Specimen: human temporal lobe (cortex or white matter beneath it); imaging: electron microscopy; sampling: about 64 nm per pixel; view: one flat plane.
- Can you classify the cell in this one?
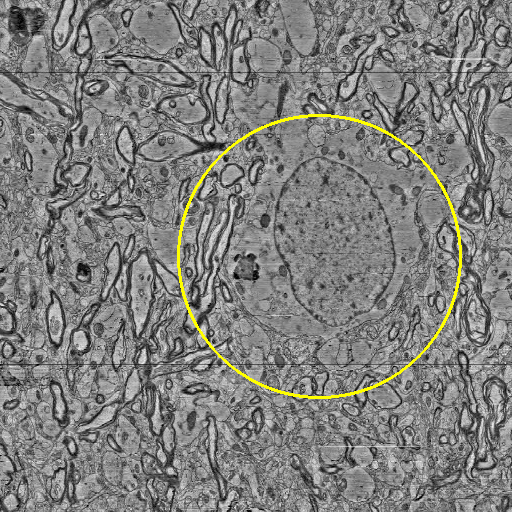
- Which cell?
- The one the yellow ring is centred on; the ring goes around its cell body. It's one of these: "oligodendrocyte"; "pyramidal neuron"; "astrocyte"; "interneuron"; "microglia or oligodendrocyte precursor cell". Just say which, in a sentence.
The cell body in the ring belongs to an astrocyte.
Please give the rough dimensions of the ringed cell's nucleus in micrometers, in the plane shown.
In this plane the nucleus measures about 11 by 7 micrometres and is clearly longer than it is wide.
